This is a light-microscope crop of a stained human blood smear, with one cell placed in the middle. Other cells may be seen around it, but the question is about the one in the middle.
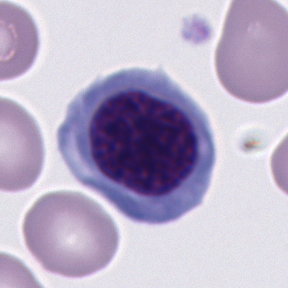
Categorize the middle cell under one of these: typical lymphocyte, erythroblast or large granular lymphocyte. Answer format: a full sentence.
Here the centrally located cell is an erythroblast.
